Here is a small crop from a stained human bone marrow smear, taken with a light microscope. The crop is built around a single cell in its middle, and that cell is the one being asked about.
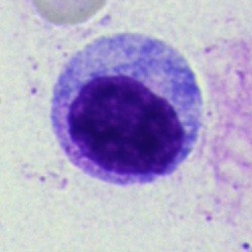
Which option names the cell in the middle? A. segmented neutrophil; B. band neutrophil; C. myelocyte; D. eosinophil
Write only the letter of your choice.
C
